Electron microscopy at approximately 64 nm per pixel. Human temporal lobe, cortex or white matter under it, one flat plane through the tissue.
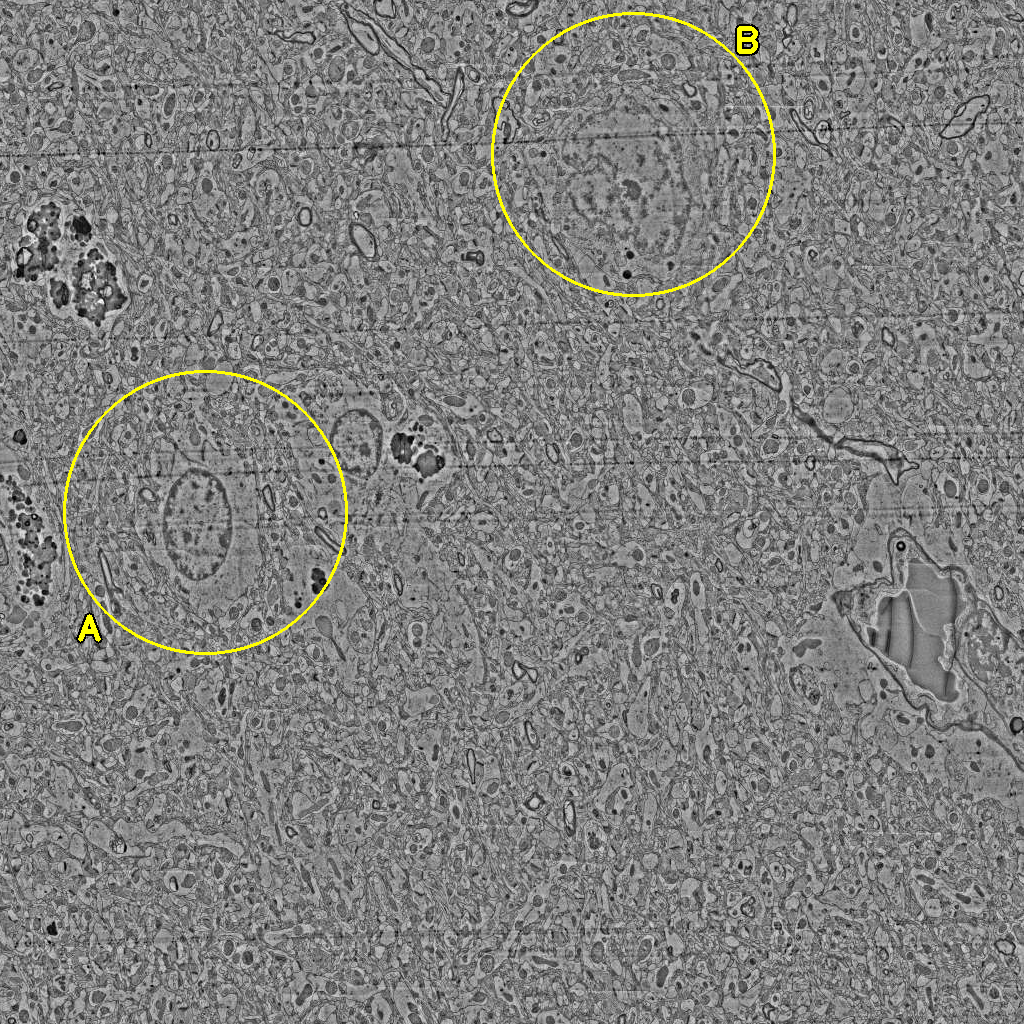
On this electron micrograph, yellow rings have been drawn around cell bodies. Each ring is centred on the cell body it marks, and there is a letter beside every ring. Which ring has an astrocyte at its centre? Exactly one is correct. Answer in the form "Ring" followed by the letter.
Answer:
Ring A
